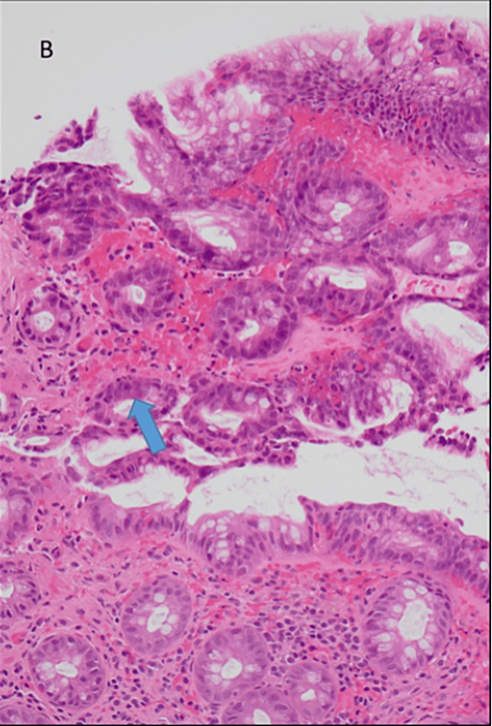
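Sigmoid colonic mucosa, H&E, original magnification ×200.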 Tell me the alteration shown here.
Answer: Acute hemorrhage in the lamina propria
